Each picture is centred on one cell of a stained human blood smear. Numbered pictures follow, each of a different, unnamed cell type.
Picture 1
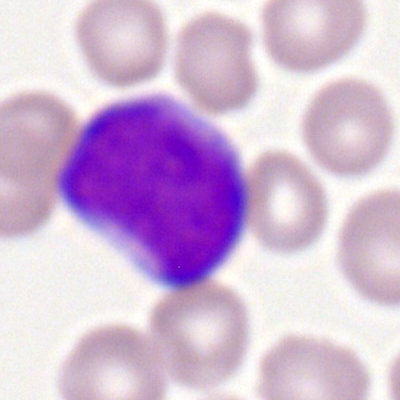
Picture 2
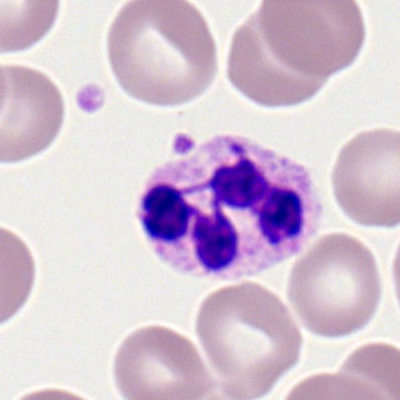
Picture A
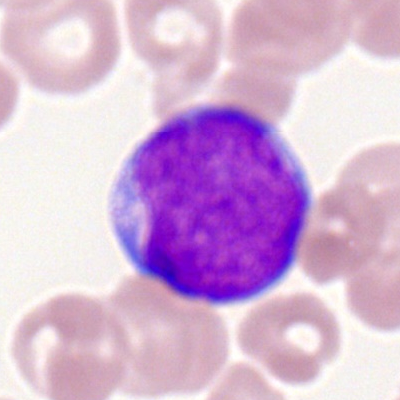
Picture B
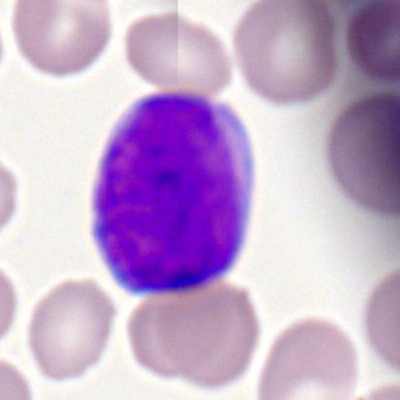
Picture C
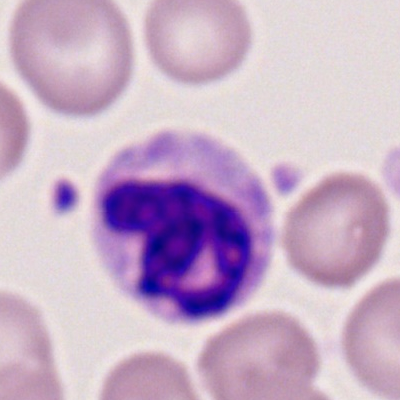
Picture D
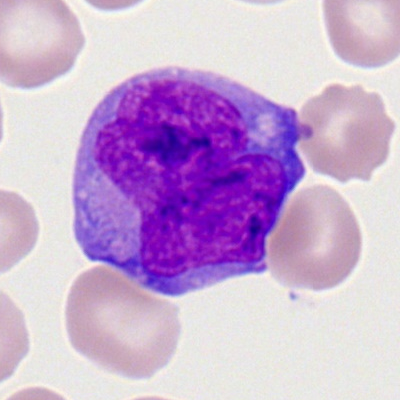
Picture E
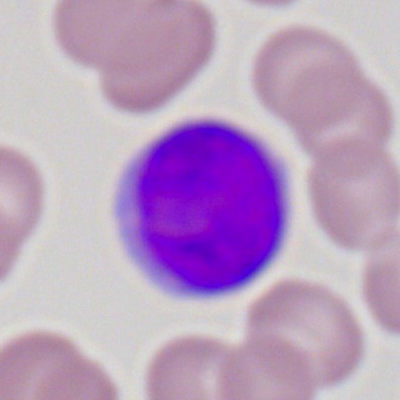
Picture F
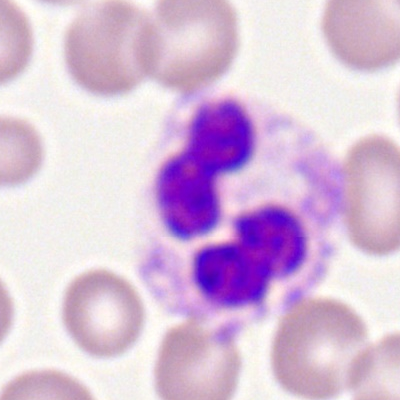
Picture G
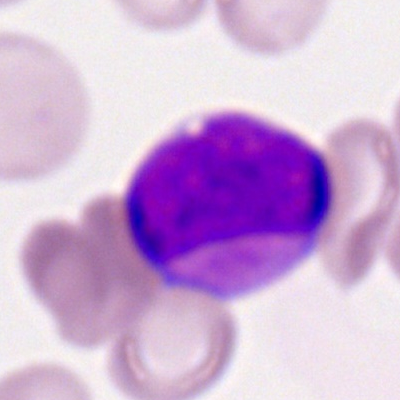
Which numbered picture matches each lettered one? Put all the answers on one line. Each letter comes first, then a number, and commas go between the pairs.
A 1, B 1, C 2, D 1, E 1, F 2, G 1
